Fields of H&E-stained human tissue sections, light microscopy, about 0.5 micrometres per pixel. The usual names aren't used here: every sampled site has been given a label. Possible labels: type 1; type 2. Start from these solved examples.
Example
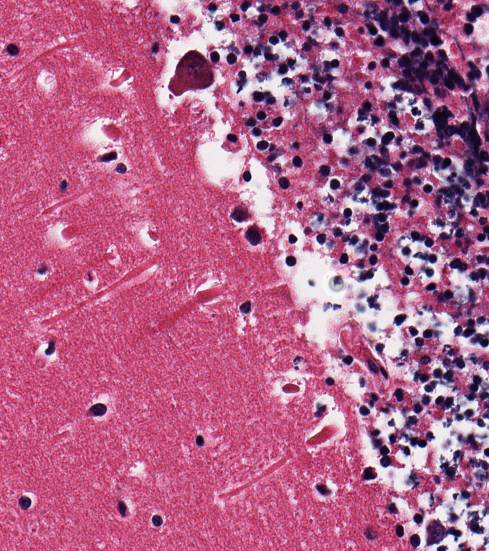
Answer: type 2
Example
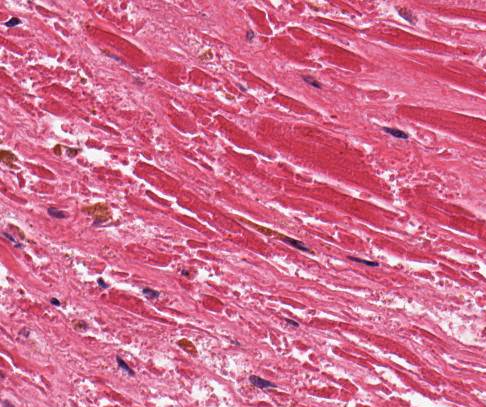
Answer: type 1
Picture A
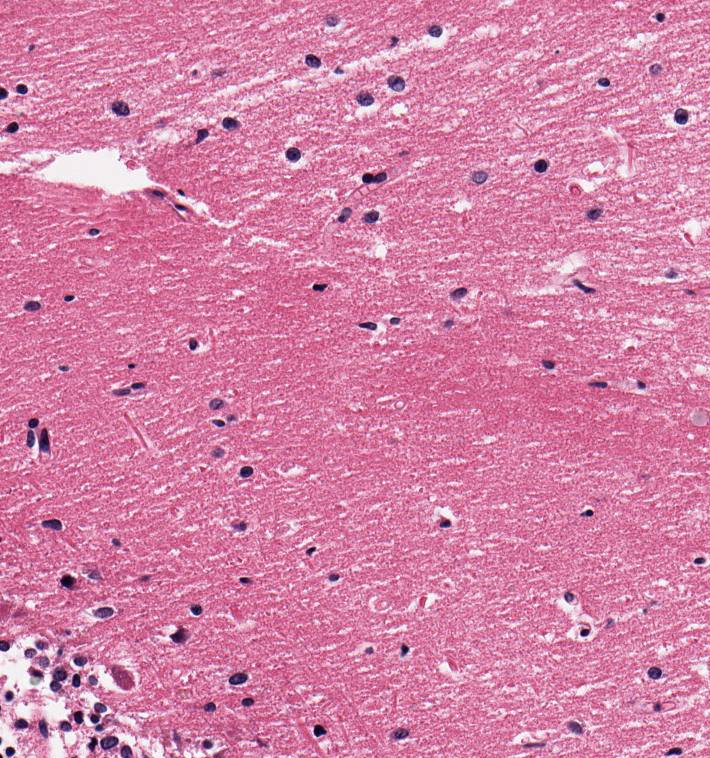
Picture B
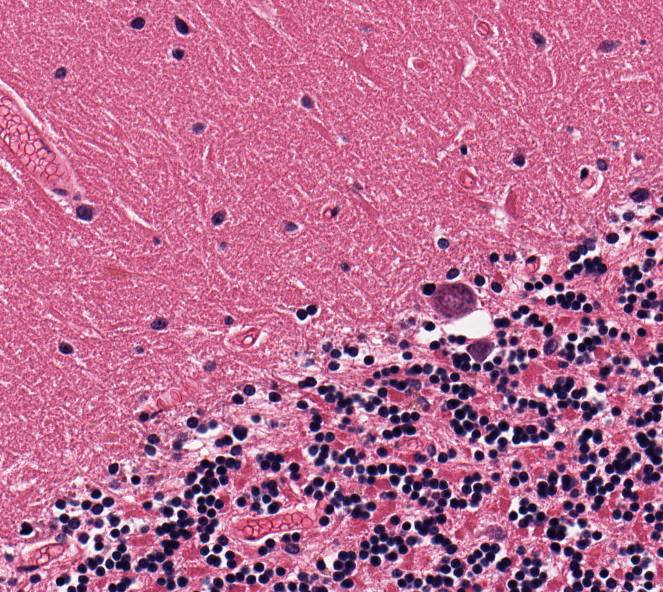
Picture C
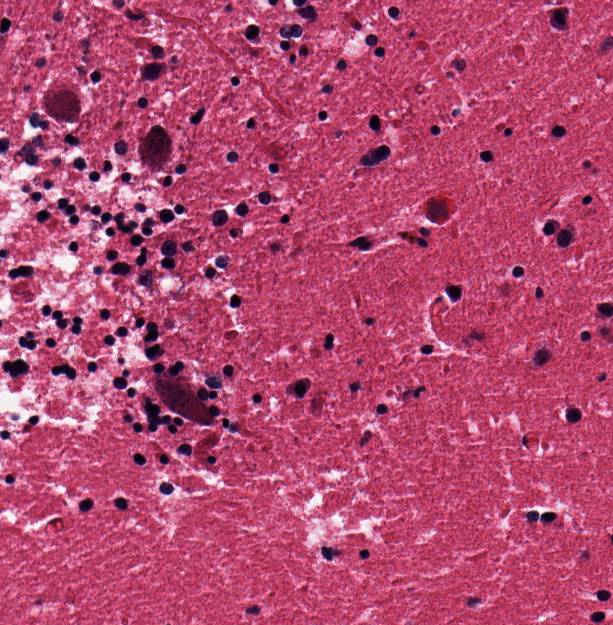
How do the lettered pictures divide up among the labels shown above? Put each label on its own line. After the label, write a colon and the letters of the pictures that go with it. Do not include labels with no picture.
type 2: A, B, C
